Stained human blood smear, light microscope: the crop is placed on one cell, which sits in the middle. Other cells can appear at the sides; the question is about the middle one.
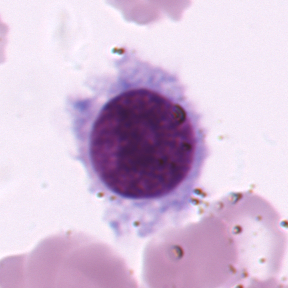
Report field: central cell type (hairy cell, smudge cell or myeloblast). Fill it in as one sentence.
The middle of this crop holds a hairy cell.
